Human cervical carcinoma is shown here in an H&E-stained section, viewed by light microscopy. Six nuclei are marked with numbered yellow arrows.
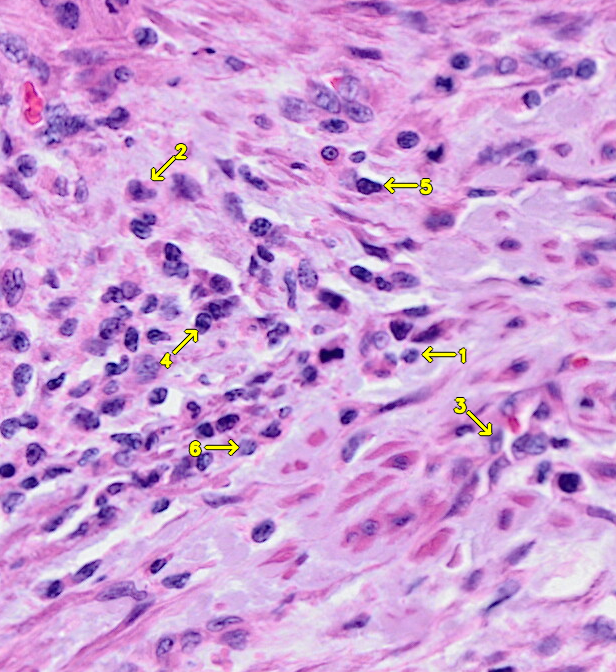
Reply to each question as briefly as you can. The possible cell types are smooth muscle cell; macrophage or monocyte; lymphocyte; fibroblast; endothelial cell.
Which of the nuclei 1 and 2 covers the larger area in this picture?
2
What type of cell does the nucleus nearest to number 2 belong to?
lymphocyte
